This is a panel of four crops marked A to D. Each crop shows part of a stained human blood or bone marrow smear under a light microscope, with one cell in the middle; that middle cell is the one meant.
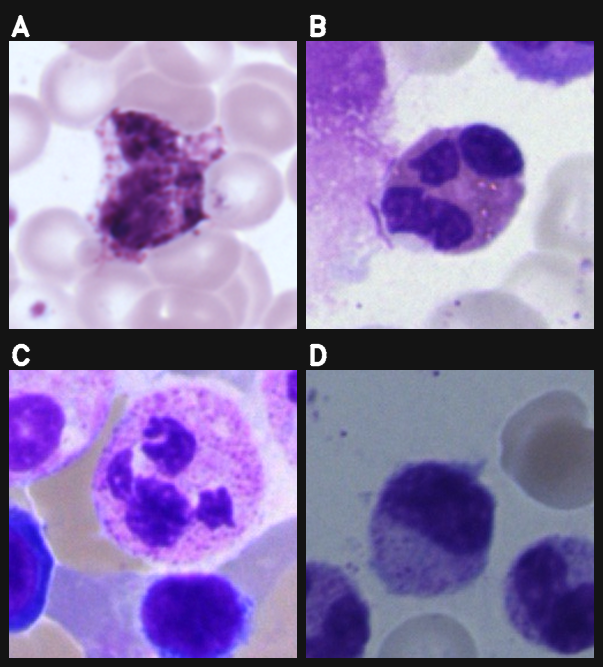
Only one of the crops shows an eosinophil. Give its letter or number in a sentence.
Among all the crops given here, the one with an eosinophil is crop B.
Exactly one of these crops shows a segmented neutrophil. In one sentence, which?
Crop C is the one to choose: it shows a segmented neutrophil.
